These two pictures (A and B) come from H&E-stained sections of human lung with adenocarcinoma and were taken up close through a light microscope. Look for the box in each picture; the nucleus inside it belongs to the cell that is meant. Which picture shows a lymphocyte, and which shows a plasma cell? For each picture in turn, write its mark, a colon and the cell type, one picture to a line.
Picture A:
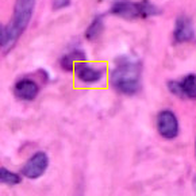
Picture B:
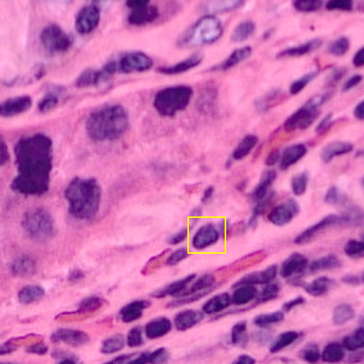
A: plasma cell
B: lymphocyte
